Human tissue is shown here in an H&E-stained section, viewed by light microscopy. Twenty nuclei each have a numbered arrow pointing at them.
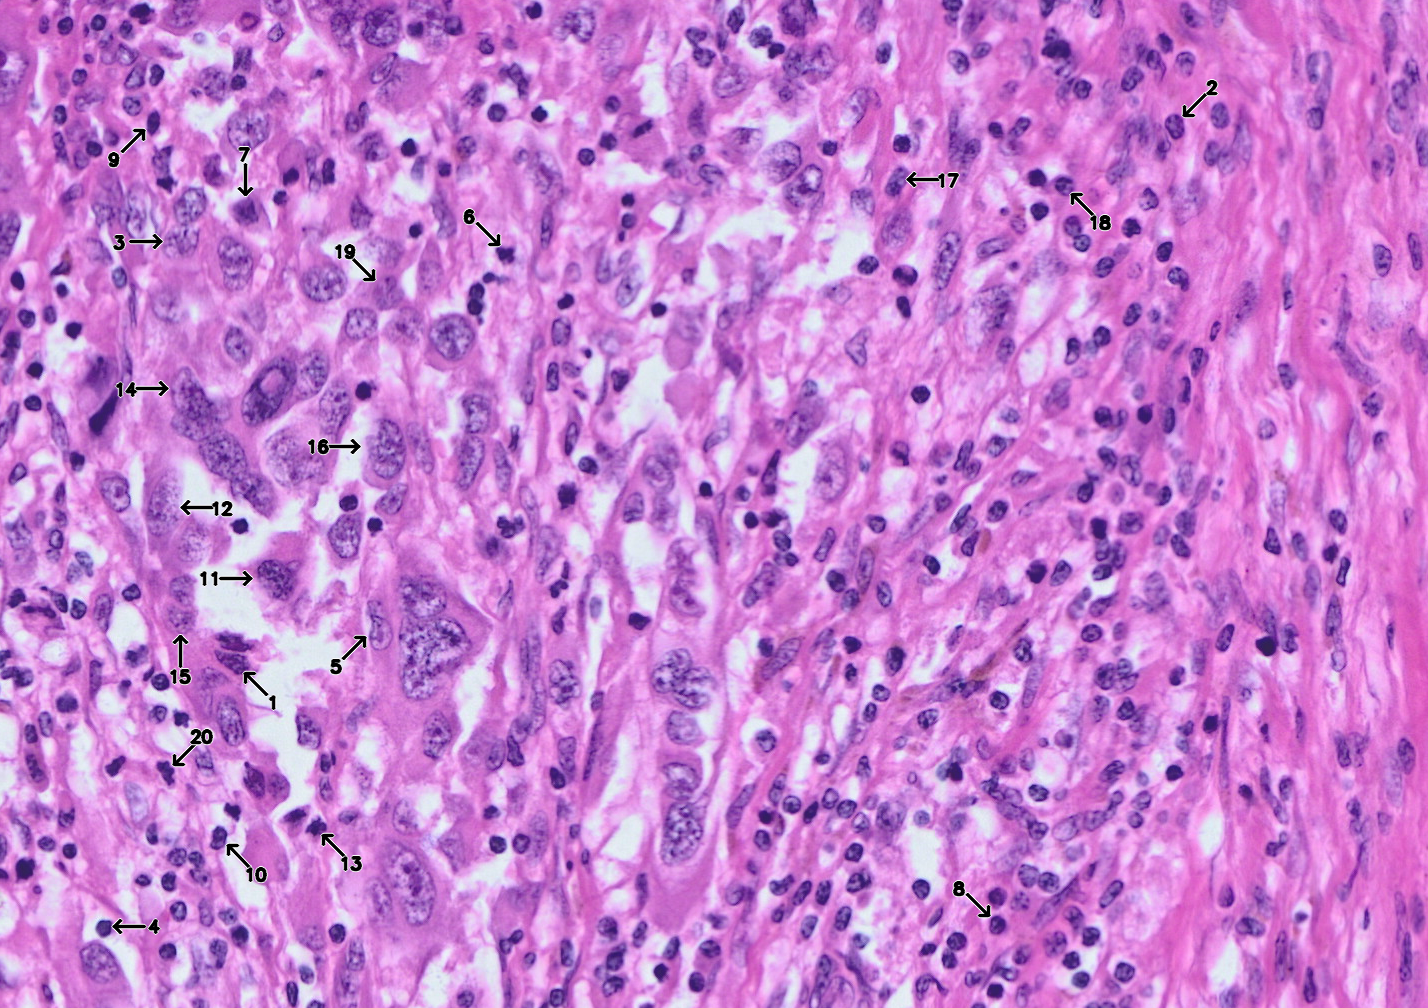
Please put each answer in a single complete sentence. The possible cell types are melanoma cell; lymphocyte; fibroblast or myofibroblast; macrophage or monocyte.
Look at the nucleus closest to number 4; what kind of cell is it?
The nearest nucleus to number 4 belongs to a melanoma cell.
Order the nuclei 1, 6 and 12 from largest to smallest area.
From largest to smallest, the order is 12, 1, 6.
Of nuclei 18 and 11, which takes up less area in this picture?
With nucleus 11 about 3 times its size, nucleus 18 is the smaller of the two.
